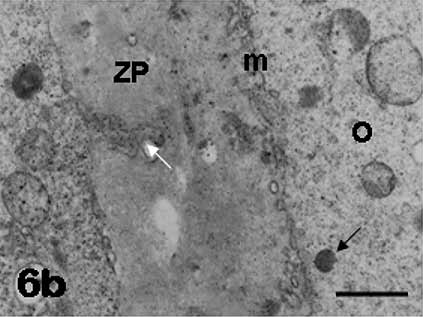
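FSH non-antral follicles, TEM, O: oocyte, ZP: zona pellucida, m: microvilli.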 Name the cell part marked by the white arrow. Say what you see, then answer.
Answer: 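A thin cytoplasmic strand runs through the zona layer between the follicle cell and the oocyte.
Answer: transzonal processes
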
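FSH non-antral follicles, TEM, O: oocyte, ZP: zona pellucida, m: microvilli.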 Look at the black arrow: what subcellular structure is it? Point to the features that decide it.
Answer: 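A small round electron-dense granule lies at the edge of the oocyte cytoplasm near its surface.
Answer: cortical granule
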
